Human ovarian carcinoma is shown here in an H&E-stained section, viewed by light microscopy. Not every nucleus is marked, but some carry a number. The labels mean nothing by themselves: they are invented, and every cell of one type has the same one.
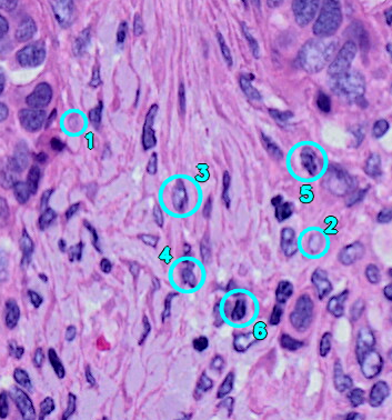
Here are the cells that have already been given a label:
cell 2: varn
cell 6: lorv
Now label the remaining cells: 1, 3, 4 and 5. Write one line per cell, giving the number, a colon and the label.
1: varn
3: varn
4: varn
5: lorv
